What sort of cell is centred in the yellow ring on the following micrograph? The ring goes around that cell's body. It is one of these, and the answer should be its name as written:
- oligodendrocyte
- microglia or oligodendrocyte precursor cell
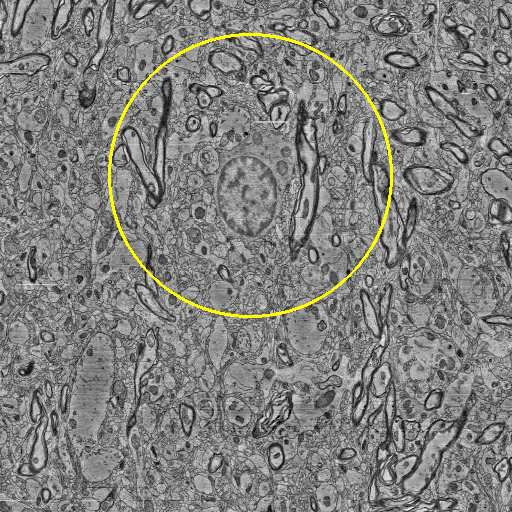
oligodendrocyte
